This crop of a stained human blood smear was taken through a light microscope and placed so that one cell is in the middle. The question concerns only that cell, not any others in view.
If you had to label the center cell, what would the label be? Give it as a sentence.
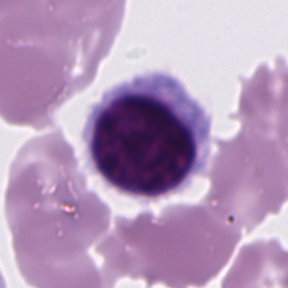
The cell in the middle of this crop is a hairy cell.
